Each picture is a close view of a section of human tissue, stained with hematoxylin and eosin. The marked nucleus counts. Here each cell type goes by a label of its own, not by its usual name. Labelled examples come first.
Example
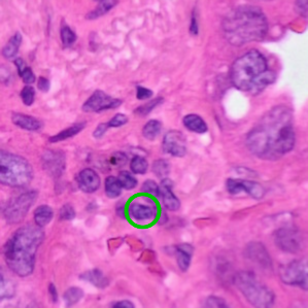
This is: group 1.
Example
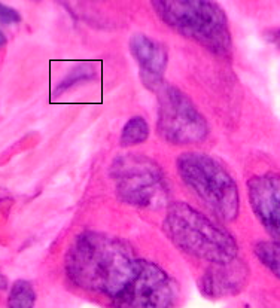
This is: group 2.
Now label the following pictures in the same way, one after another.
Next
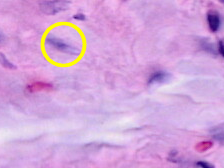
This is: group 2.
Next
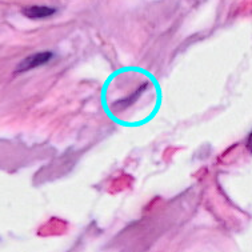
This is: group 2.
